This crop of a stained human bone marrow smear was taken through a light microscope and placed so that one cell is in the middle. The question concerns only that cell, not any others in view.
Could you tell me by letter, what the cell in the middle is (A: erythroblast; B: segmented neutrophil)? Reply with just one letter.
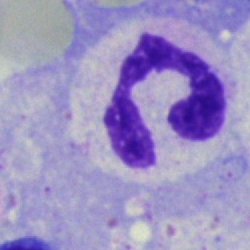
B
